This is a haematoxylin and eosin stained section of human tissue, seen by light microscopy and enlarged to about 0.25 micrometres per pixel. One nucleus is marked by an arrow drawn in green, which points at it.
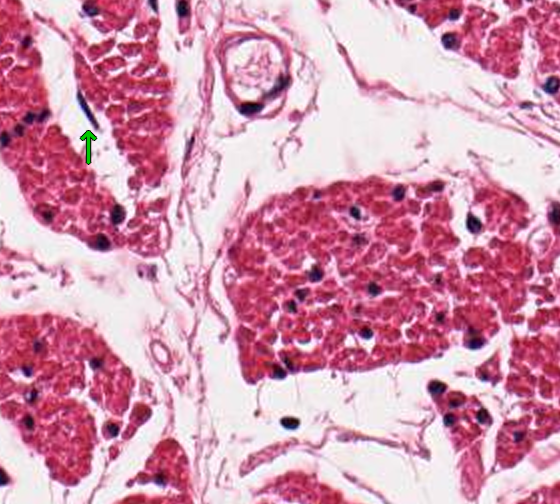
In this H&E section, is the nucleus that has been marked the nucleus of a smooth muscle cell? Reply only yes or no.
no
